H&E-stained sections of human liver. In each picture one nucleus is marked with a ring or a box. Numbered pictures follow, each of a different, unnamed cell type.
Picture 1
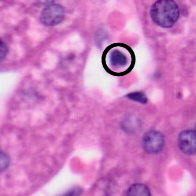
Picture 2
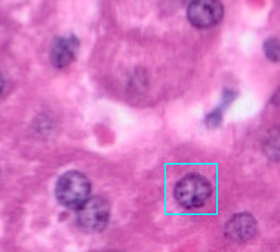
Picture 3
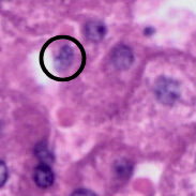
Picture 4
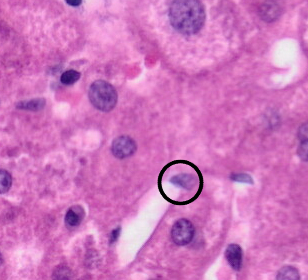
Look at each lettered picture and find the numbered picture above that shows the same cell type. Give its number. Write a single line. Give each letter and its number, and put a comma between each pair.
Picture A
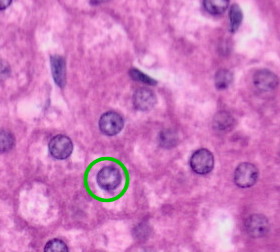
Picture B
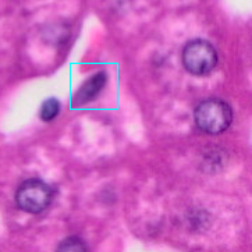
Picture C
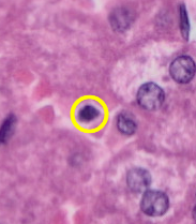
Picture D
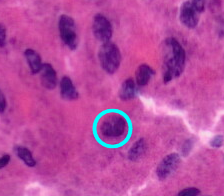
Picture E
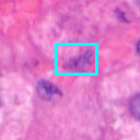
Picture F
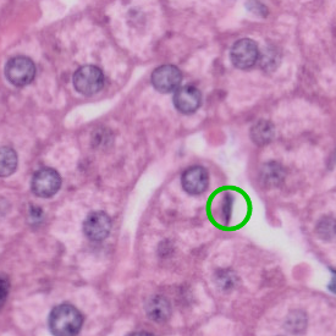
A 2, B 3, C 1, D 2, E 4, F 4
